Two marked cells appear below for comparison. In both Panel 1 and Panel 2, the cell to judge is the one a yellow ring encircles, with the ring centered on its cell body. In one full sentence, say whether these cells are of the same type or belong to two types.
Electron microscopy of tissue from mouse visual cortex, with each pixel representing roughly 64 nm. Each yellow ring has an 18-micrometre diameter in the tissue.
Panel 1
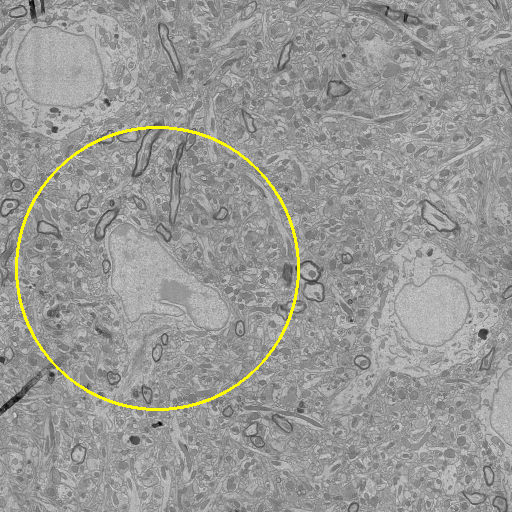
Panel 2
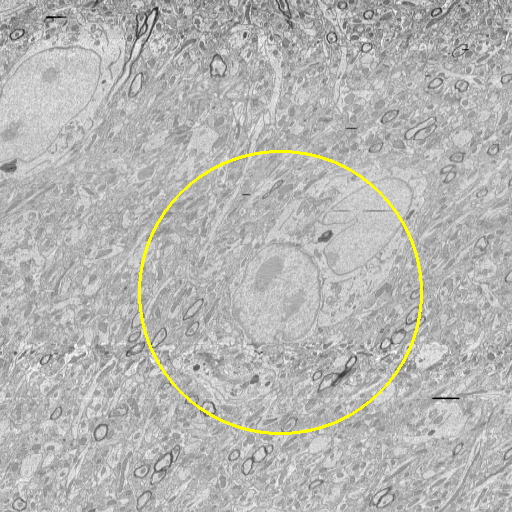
The cell centered in the Panel 1 ring and the one in Panel 2 are of the same type.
